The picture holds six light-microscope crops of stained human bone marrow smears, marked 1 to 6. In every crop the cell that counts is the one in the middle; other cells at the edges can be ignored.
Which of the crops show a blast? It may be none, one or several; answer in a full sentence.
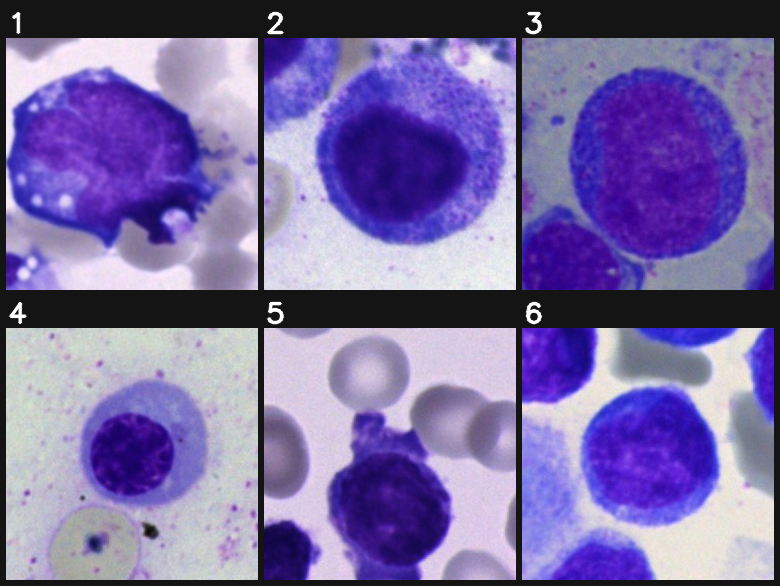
The crops labelled 1, 3, 5 and 6 show blasts at the centre.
